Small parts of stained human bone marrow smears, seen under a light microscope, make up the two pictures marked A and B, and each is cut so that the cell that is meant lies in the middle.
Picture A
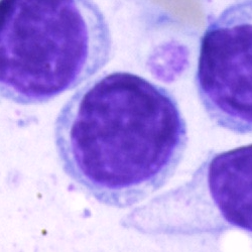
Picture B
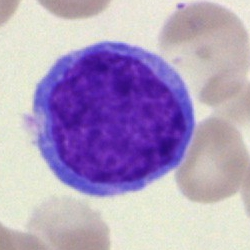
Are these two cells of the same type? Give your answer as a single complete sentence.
No, the types are not the same, since picture A shows a lymphocyte and picture B a blast.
